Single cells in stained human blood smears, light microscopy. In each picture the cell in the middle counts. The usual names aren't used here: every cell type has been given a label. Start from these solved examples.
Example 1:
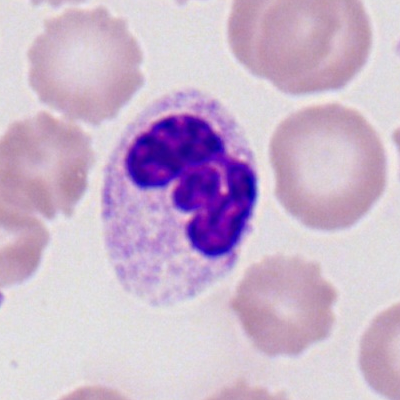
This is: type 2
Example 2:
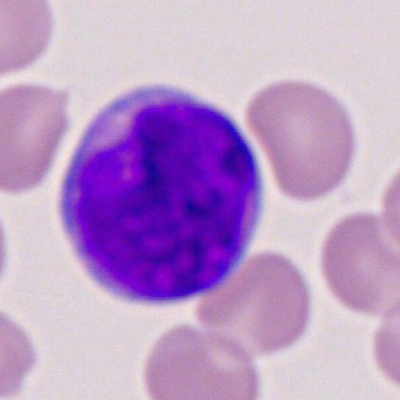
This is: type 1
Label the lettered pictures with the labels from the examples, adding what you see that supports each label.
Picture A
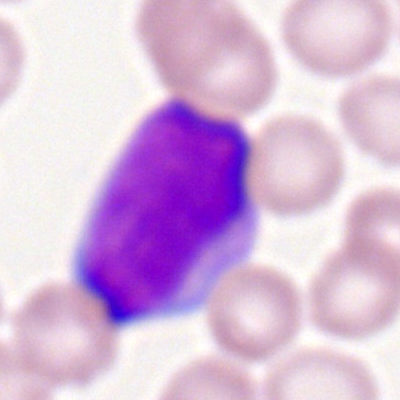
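type 1. Evidence: The cytoplasm forms a narrow rim that is widest along the lower right side.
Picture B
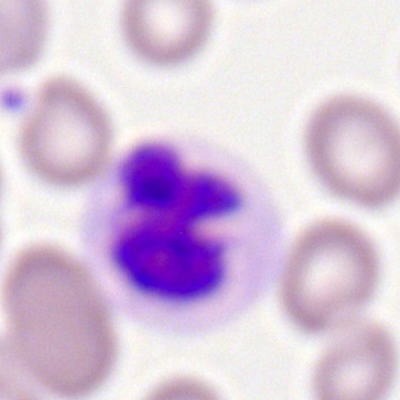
type 2. Evidence: The cytoplasm is plentiful and pale lilac-pink.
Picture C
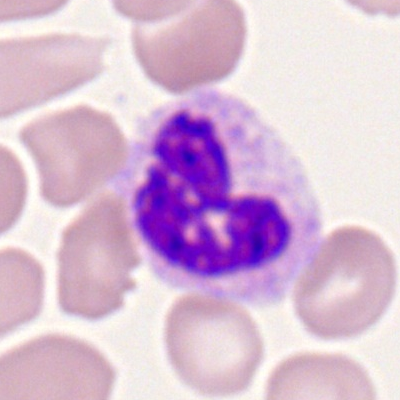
type 2. Evidence: The nucleus is bent into a curved, horseshoe-like shape.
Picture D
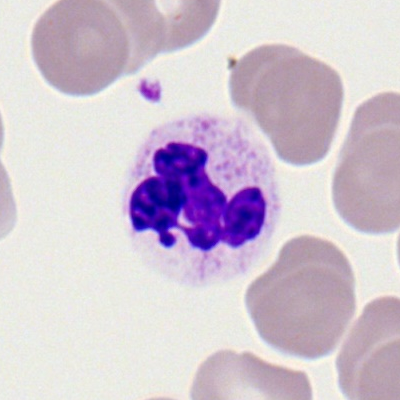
type 2. Evidence: The cytoplasm is pale pink.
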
